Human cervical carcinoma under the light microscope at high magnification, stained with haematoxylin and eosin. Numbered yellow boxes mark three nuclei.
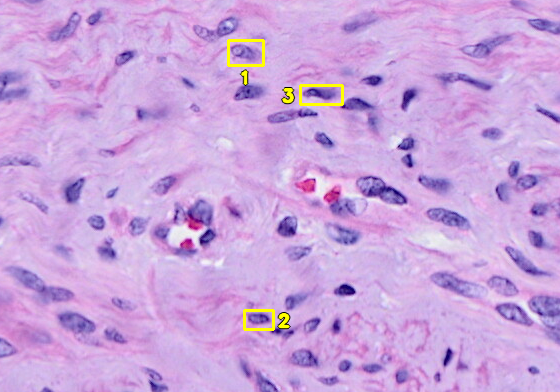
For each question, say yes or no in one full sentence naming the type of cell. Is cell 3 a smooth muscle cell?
No, cell 3 is classified as a fibroblast rather than a smooth muscle cell.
